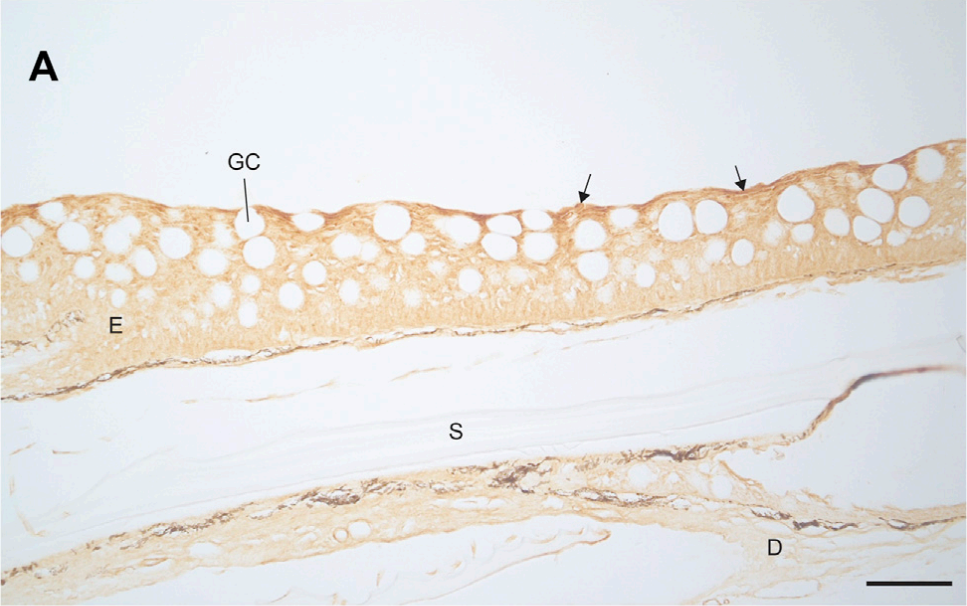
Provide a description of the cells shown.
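A thick stratified epidermis of fish skin fills the upper part, its cells stained light brown and packed with many round, clear, unstained goblet cells, largest toward the surface. Along the free surface the outermost epidermal cells form a thin rim stained a darker reddish-brown. Beneath the epidermis lies a pale, layered scale in its pocket, bordered by loose dermal connective tissue in which flattened, very dark black-brown chromatophores run in thin lines.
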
